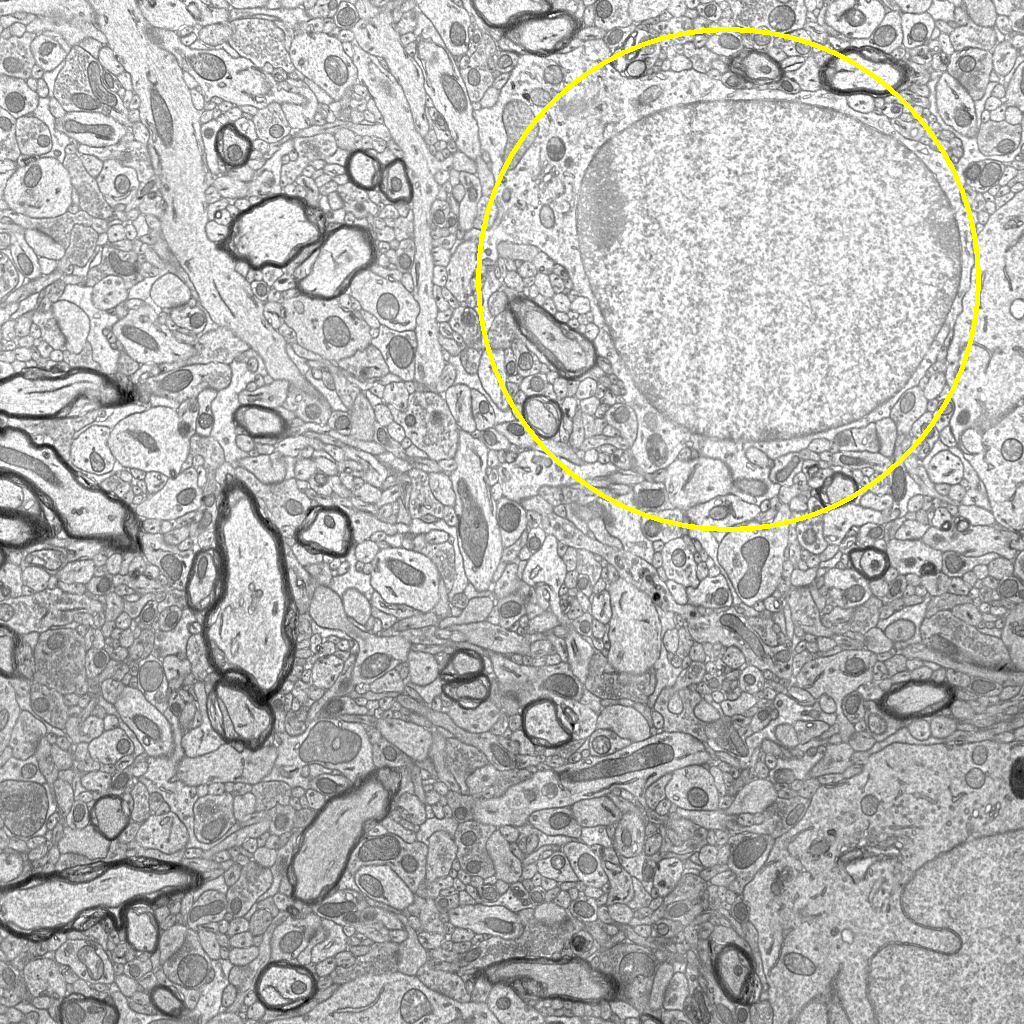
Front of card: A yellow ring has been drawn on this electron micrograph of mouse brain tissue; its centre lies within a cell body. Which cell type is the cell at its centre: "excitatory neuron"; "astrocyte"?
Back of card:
astrocyte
